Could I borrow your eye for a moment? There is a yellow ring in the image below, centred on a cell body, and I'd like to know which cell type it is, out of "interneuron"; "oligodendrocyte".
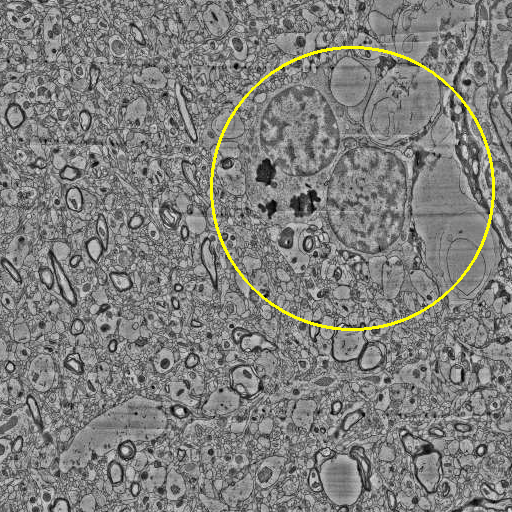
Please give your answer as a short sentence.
The cell body at the centre is that of an oligodendrocyte.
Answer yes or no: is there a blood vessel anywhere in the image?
Yes.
